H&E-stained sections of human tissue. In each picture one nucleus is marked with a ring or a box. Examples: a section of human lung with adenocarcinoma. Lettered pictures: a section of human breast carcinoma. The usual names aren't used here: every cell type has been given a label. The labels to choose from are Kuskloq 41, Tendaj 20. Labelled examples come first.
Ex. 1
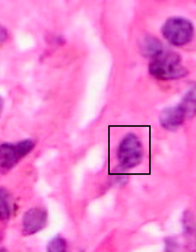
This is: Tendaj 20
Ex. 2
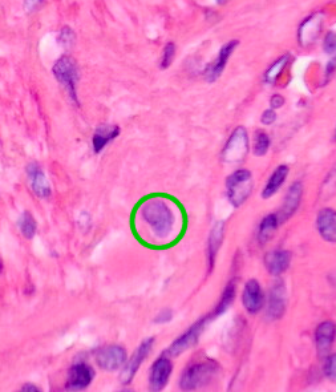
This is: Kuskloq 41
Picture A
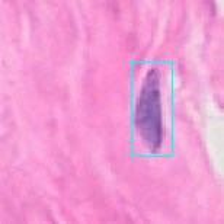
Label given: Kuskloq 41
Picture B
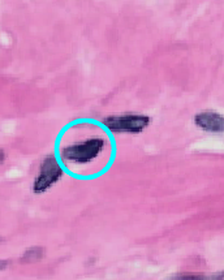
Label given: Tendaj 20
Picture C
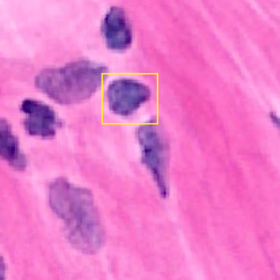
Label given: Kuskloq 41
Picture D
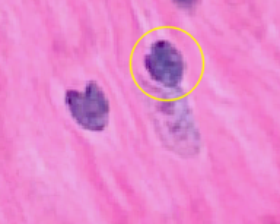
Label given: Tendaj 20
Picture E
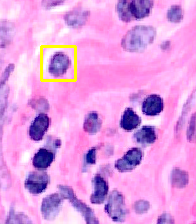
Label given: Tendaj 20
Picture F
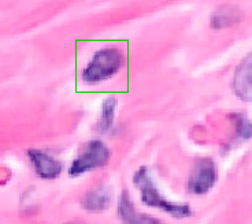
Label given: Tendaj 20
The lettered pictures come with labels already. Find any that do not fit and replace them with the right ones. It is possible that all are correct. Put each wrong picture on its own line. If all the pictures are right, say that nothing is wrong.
C: change Kuskloq 41 to Tendaj 20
